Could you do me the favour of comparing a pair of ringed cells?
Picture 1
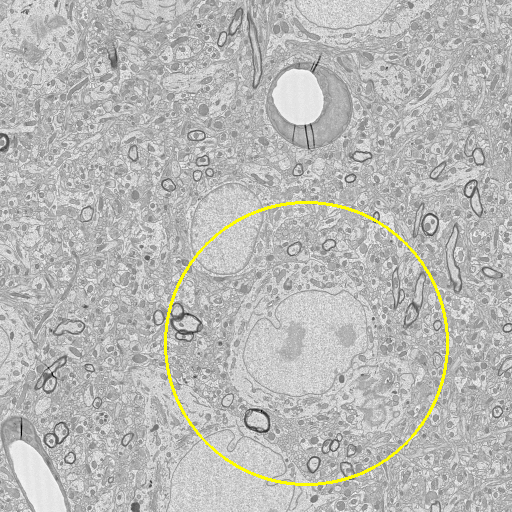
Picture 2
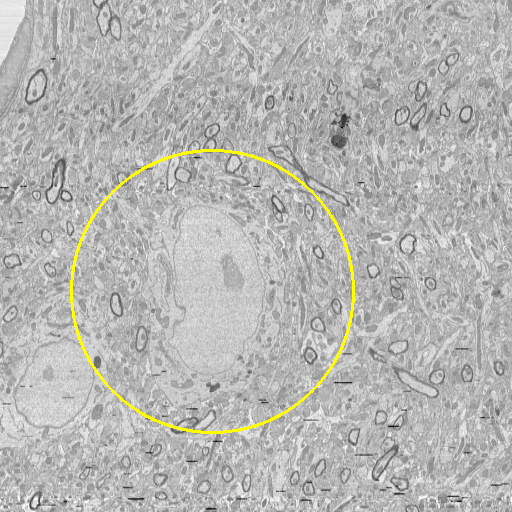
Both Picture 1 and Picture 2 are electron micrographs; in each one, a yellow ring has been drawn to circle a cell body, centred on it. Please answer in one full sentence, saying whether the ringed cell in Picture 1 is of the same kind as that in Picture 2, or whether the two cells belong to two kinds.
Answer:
The ringed cell in Picture 1 is of the same kind as that in Picture 2.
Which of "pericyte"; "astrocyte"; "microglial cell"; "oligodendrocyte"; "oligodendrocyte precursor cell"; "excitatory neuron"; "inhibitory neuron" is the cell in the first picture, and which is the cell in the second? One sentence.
Each of the two cells is an excitatory neuron.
